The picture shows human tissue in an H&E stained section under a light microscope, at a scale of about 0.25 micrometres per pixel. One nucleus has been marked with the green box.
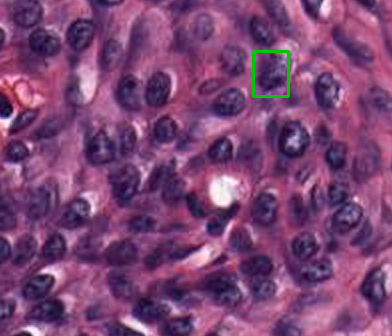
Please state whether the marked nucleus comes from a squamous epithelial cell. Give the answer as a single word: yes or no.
yes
